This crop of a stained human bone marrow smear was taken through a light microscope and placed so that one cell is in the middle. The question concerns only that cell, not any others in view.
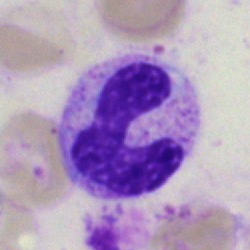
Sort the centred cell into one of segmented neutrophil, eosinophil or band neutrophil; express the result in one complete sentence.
At the center of the crop sits a band neutrophil.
